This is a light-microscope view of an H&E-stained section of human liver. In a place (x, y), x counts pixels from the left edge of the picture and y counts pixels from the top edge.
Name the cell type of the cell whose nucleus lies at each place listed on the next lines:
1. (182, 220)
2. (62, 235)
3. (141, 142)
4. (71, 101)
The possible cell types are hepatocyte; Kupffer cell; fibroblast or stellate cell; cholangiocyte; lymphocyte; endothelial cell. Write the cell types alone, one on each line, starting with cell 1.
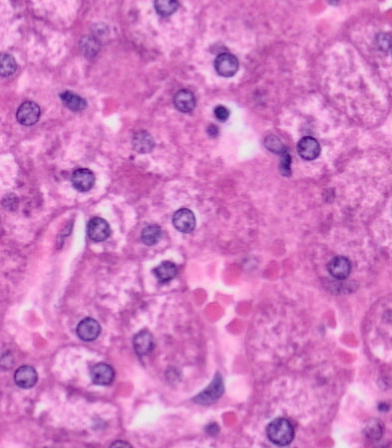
hepatocyte
Kupffer cell
hepatocyte
fibroblast or stellate cell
